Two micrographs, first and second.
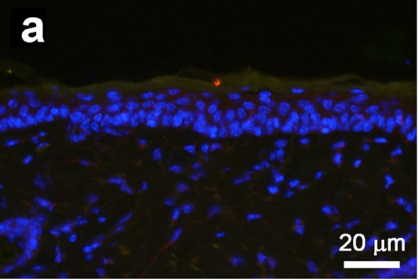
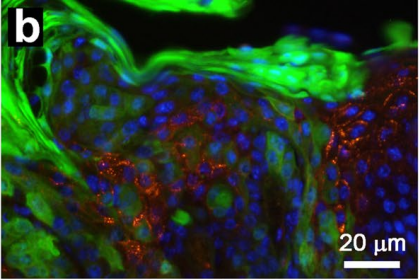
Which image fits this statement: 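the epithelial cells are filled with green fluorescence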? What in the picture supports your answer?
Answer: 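Second image: many epithelial cells and the surface layer are bright green. First image: the epithelium shows only blue nuclei with no green cells.
Conclusion: the second image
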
